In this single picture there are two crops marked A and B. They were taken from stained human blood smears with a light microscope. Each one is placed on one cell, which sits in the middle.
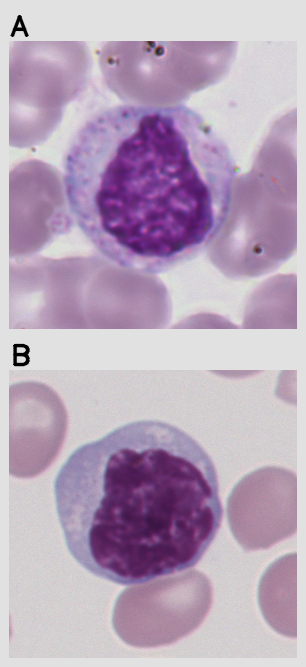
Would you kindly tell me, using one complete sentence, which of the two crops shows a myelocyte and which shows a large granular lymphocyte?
Crop A is designated a myelocyte, and crop B is designated a large granular lymphocyte.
